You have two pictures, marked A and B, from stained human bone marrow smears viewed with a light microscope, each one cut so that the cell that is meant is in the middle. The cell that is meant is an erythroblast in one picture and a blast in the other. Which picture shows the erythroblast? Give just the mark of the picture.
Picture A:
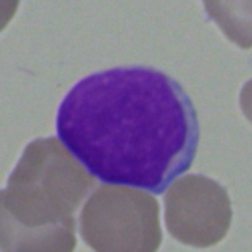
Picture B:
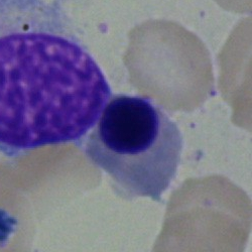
B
